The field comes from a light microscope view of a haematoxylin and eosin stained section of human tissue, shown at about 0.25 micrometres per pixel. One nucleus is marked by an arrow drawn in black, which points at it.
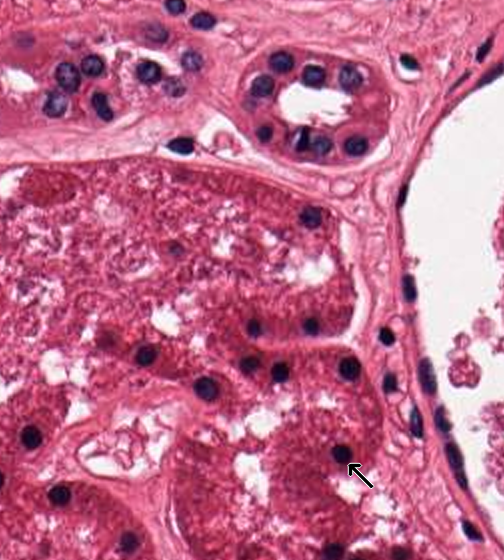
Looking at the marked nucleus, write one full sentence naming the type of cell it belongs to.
The marked nucleus is the nucleus of a proximal tubule cell.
